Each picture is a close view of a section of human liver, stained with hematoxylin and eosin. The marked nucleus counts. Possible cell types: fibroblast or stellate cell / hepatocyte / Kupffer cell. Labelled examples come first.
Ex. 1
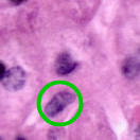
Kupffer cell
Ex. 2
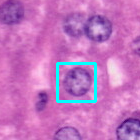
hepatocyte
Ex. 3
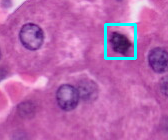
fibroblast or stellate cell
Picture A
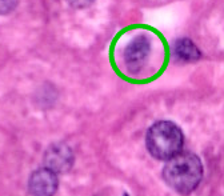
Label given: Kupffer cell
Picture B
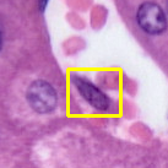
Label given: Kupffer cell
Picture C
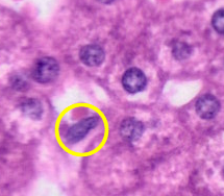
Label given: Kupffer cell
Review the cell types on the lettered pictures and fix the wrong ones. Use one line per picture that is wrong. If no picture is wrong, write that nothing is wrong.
No label is wrong.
